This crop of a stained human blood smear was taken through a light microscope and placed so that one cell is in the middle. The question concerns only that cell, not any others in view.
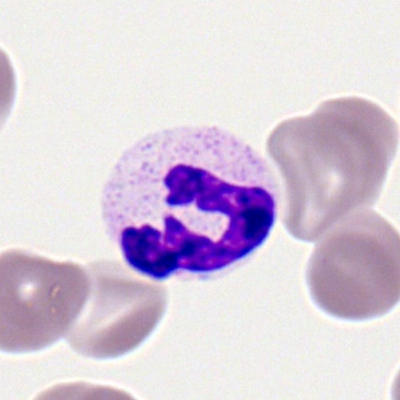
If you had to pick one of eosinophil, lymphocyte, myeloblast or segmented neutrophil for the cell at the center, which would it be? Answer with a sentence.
In the centre of this crop there is a segmented neutrophil.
